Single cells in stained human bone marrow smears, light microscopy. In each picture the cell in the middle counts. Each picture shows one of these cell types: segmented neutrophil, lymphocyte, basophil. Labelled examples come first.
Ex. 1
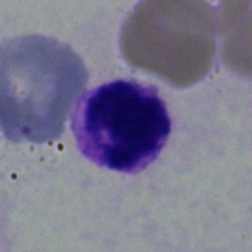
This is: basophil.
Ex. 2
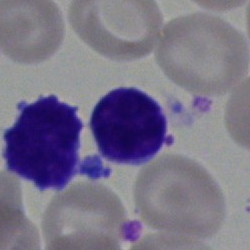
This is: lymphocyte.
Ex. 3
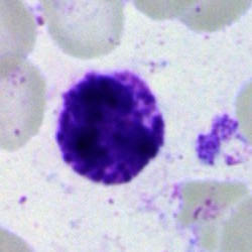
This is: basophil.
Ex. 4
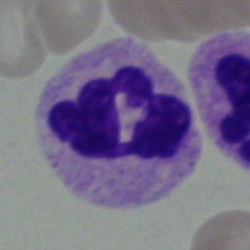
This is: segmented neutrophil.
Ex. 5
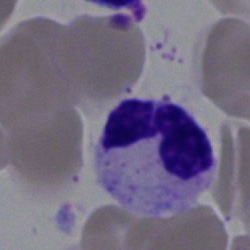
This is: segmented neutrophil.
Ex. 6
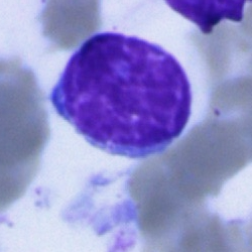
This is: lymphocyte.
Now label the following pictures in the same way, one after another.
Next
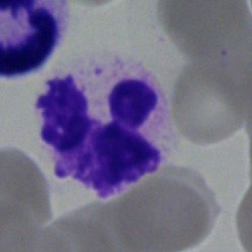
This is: basophil.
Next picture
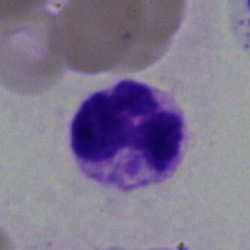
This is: basophil.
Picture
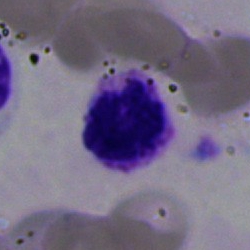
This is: basophil.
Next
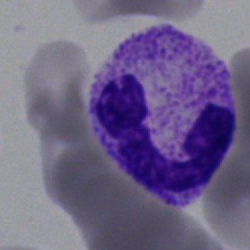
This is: segmented neutrophil.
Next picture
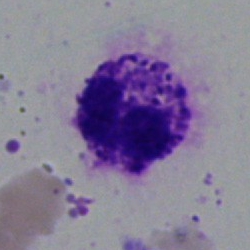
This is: basophil.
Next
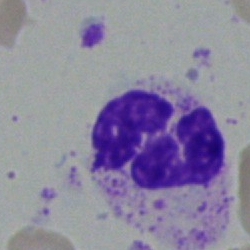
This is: basophil.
